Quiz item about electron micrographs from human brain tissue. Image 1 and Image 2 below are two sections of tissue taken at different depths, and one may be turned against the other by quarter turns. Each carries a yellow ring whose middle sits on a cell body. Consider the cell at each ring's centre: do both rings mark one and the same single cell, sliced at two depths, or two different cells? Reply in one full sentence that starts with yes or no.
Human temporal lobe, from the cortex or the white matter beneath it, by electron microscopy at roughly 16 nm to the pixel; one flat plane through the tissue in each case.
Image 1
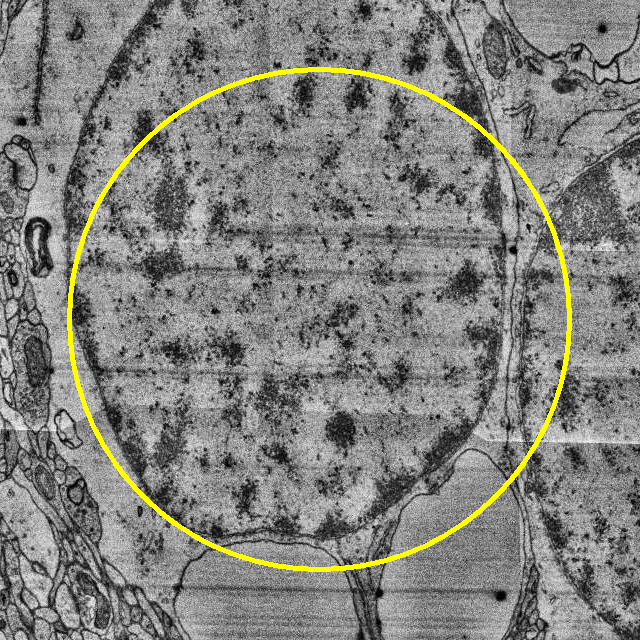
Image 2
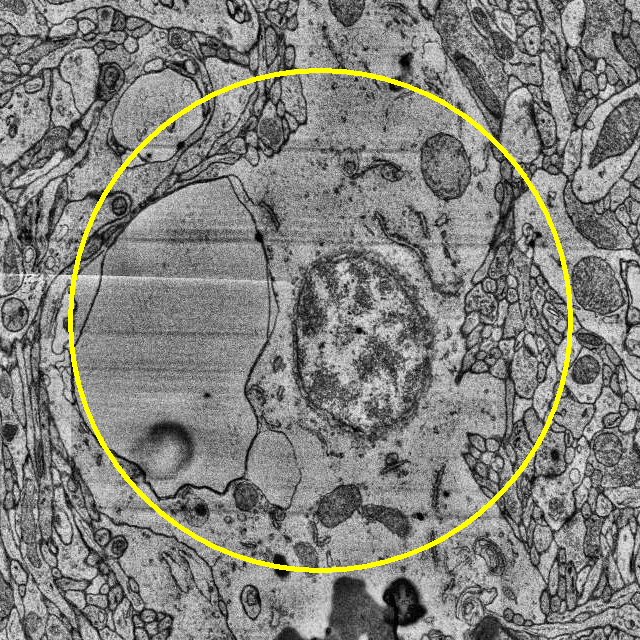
Yes, the two rings mark one cell and not separate cells.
